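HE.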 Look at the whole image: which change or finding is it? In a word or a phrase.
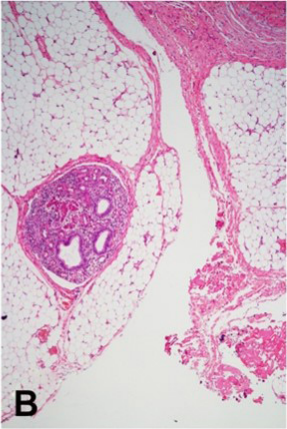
Intravascular foci of both endometrial stroma and epithelium.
